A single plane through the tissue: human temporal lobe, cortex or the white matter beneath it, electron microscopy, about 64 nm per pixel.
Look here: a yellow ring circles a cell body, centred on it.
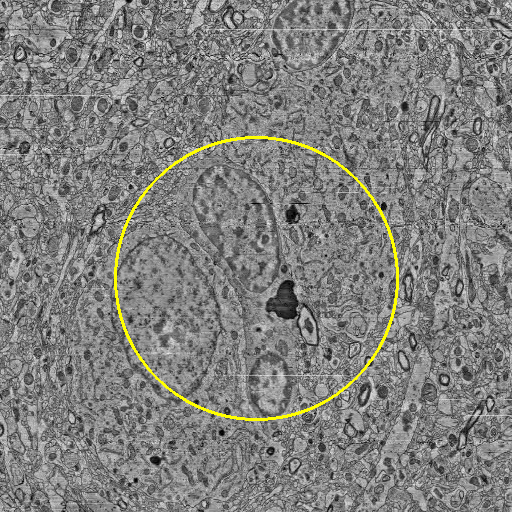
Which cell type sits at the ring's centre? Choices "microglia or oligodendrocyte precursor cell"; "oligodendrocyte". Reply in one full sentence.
The cell at the centre of the yellow ring in the picture is an oligodendrocyte.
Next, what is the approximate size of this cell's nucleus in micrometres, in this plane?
In this plane the nucleus is roughly 9 by 5 micrometres, clearly longer than it is wide.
